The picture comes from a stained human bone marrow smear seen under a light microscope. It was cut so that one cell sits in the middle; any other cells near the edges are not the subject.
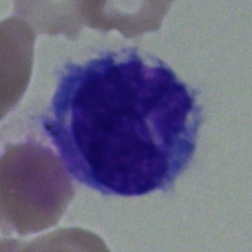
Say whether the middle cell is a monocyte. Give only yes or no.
yes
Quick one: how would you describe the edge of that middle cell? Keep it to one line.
The cell is bounded by a ragged or projection-bearing margin rather than a smooth one.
